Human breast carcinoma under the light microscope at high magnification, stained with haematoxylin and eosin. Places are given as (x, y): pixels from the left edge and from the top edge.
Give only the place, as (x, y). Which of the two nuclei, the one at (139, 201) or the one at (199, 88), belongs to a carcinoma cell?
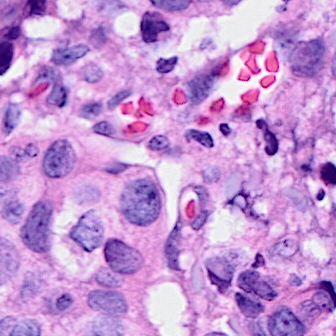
(139, 201)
